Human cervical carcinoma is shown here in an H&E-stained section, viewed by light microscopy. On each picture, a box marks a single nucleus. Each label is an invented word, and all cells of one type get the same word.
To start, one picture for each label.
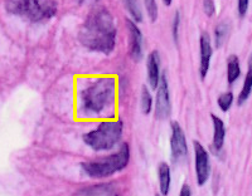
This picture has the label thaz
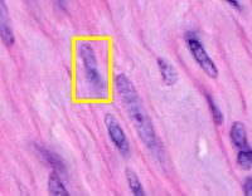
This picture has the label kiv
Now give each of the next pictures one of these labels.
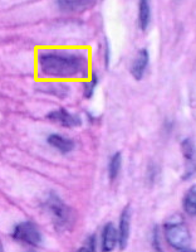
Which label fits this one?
thaz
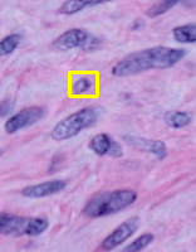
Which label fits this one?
kiv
